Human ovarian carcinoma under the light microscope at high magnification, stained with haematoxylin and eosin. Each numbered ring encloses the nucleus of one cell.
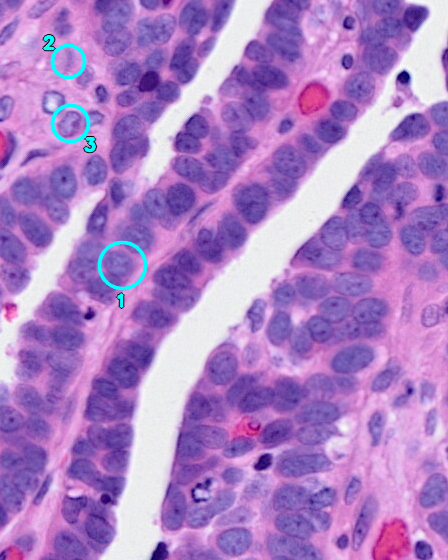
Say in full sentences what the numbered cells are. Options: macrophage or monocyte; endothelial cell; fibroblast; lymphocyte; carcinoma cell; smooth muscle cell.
Cell 1 is a carcinoma cell. Cells 2 and 3 are fibroblasts.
